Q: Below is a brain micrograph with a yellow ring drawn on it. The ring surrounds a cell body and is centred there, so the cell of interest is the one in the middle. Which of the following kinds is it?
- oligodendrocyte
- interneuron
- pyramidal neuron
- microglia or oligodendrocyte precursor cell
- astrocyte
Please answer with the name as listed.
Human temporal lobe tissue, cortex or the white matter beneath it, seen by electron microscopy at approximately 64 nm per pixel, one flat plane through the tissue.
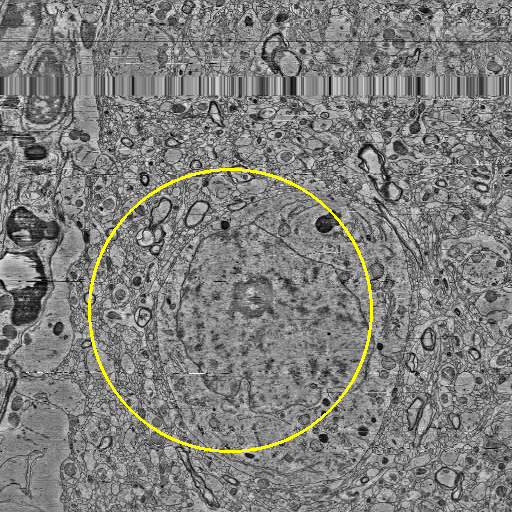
pyramidal neuron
